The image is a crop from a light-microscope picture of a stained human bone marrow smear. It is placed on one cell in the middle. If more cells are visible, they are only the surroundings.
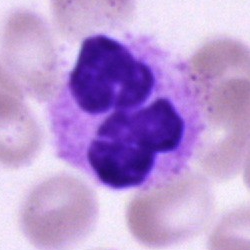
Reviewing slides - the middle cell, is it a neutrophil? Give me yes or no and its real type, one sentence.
Yes, the cell in the middle is recognised as a neutrophil.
